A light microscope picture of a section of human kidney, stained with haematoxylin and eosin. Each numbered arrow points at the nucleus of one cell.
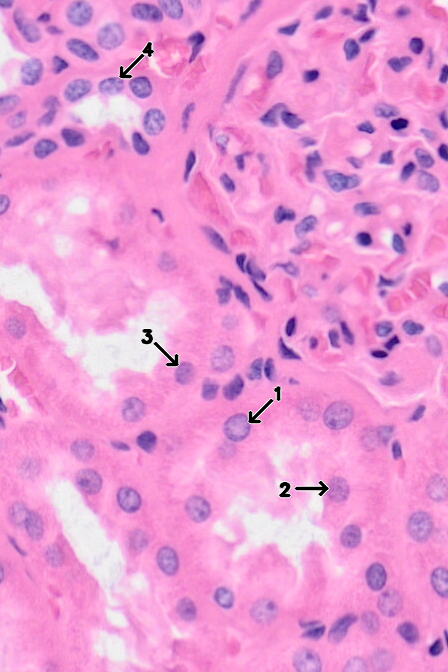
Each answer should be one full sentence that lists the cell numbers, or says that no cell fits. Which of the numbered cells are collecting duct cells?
Only one of the numbered nuclei, number 4, belongs to a collecting duct cell.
